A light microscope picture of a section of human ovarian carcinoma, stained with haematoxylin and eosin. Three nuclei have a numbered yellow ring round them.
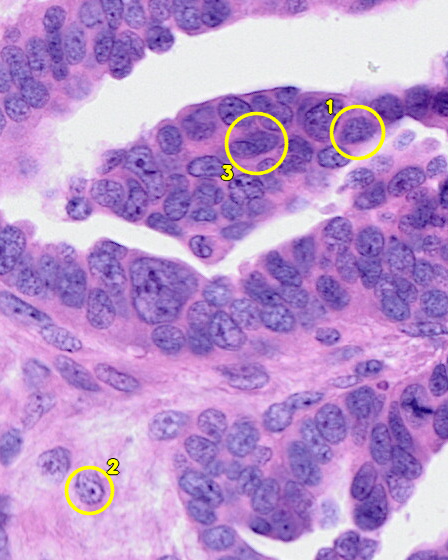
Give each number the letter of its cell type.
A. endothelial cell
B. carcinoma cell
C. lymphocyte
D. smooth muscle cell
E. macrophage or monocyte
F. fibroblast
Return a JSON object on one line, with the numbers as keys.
{"1": "B", "2": "F", "3": "B"}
